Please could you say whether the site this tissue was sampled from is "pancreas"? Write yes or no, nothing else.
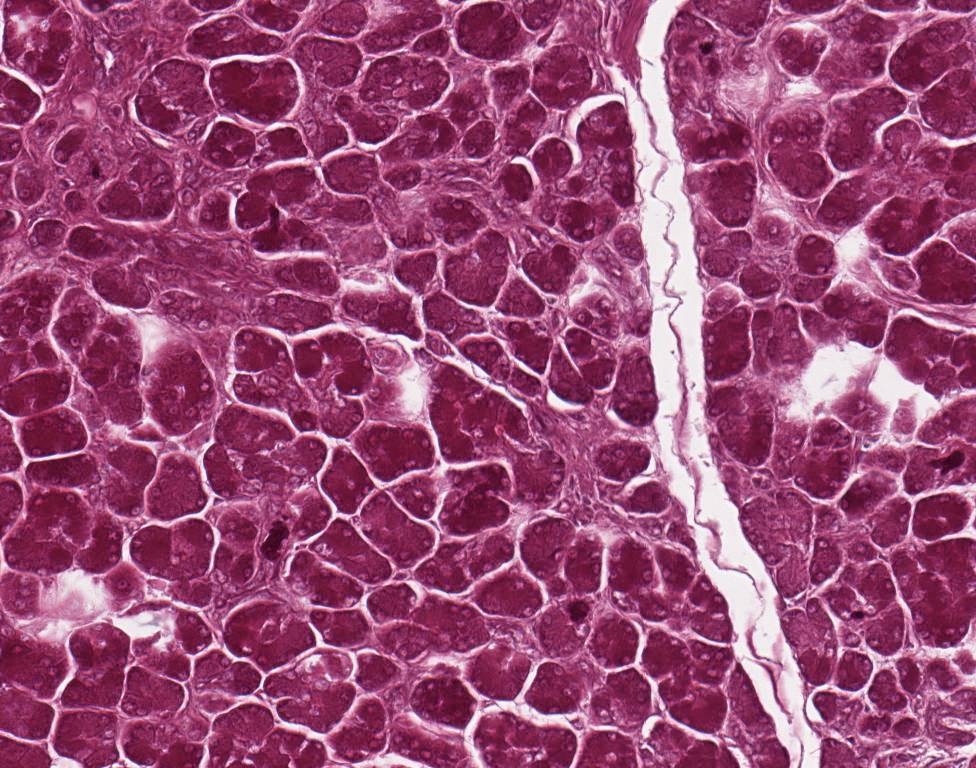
yes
